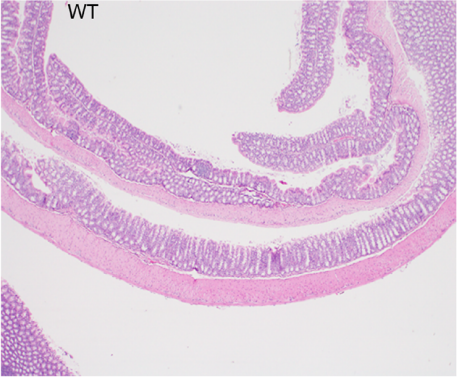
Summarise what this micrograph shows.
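This is colon tissue cut in several curved profiles, each with a mucosa of regular, closely packed, straight crypts that stain purple. The crypts stand side by side perpendicular to the surface and rest on a thin pink submucosa and muscular layer. The lining is uniform along its length, with no cystic spaces or distorted glands within the wall.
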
